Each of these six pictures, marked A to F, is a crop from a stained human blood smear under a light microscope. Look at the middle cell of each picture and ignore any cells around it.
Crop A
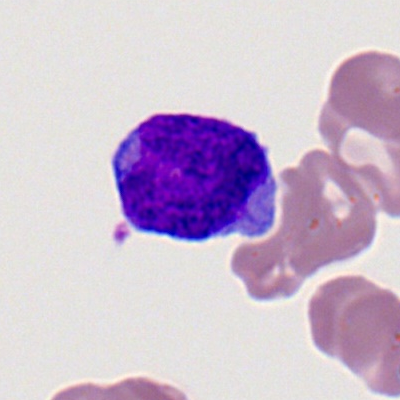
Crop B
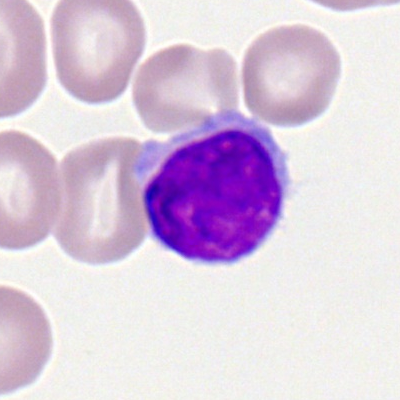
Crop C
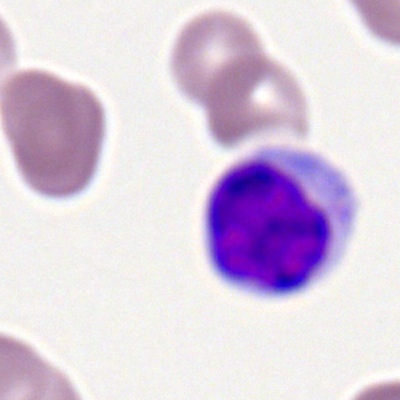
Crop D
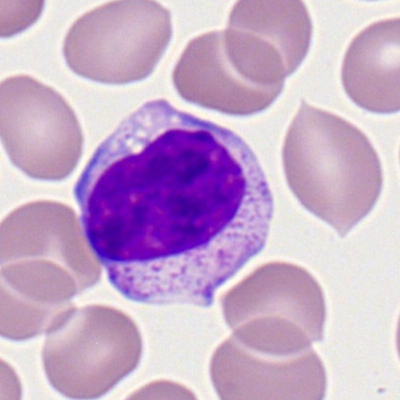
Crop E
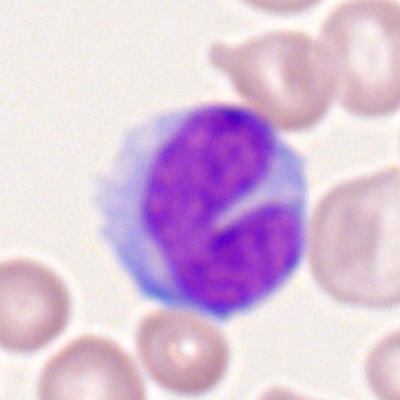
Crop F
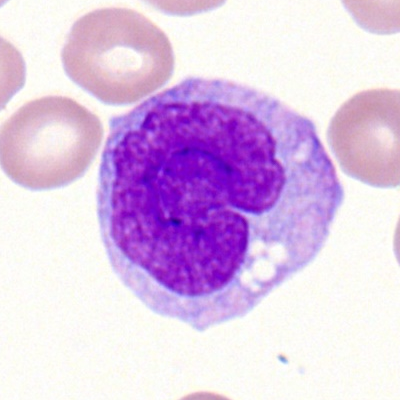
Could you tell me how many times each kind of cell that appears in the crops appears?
lymphocyte: 4
monocyte: 2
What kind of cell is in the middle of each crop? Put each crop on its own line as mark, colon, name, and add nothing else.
A: lymphocyte
B: lymphocyte
C: lymphocyte
D: lymphocyte
E: monocyte
F: monocyte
